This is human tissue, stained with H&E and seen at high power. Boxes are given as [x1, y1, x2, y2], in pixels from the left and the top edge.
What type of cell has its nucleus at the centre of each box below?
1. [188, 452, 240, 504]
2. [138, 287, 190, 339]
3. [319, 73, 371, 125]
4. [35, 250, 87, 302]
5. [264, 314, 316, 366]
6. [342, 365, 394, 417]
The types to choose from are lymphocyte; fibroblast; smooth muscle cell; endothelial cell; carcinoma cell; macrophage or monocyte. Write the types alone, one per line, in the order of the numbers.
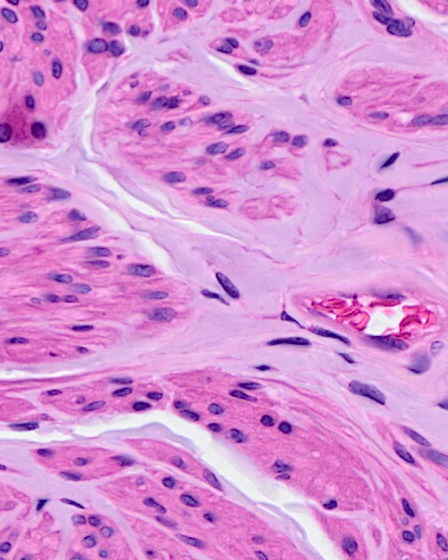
smooth muscle cell
smooth muscle cell
smooth muscle cell
smooth muscle cell
fibroblast
fibroblast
